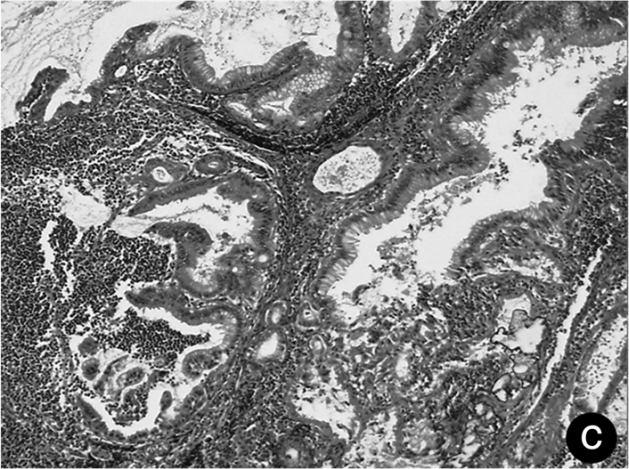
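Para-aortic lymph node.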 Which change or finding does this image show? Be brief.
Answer: Well-differentiated tubular adenocarcinoma.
